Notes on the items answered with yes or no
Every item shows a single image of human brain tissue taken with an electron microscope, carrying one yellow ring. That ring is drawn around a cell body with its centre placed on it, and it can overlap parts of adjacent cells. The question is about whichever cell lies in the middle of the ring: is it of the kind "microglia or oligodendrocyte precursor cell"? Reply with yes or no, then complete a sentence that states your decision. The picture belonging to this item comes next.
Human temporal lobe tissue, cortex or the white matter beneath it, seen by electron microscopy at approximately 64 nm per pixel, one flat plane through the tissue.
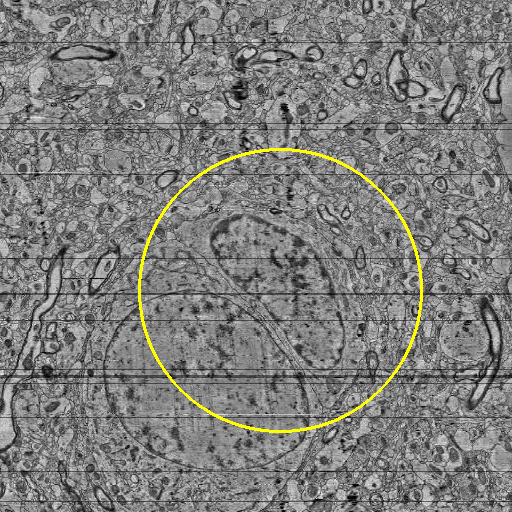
Yes, this micrograph shows a cell of that kind in the middle of the ring.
